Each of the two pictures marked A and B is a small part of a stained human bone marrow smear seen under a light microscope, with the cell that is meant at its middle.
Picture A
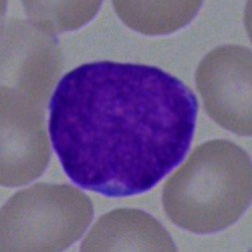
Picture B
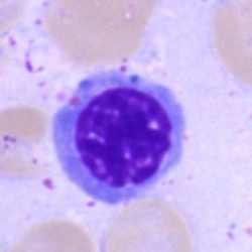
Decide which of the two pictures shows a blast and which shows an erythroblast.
A: blast
B: erythroblast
